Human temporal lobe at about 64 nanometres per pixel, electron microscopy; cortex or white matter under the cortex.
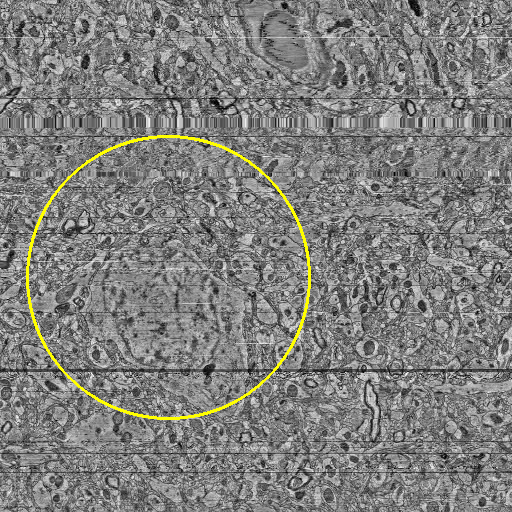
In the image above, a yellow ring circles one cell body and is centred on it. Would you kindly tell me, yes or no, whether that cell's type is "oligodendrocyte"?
no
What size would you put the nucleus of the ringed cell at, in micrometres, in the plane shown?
The nucleus works out at approximately 10 by 7 micrometres in this plane.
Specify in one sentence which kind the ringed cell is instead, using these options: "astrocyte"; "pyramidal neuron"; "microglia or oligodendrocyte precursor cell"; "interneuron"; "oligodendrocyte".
The ring's central cell is an interneuron instead.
